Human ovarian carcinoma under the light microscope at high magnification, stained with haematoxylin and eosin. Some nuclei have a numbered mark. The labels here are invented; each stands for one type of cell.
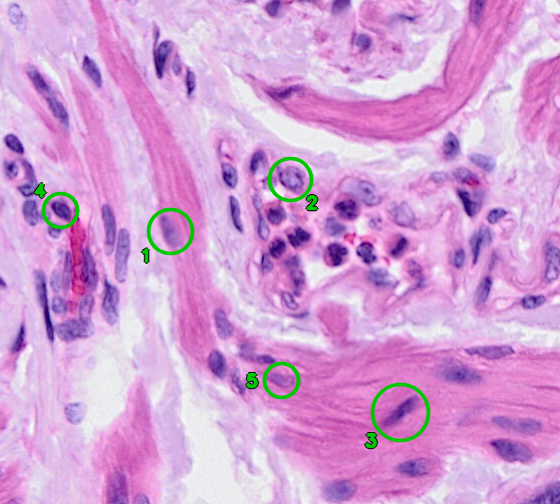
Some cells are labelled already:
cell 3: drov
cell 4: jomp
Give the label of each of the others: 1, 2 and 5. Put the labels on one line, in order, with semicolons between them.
drov; jomp; drov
